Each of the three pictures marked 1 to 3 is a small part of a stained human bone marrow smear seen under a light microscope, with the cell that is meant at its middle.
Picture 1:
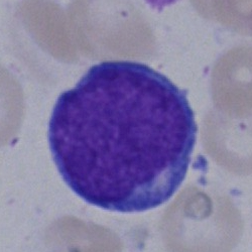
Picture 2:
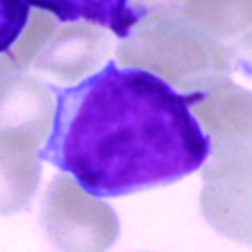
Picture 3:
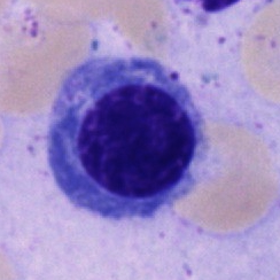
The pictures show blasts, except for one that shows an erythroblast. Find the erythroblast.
3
